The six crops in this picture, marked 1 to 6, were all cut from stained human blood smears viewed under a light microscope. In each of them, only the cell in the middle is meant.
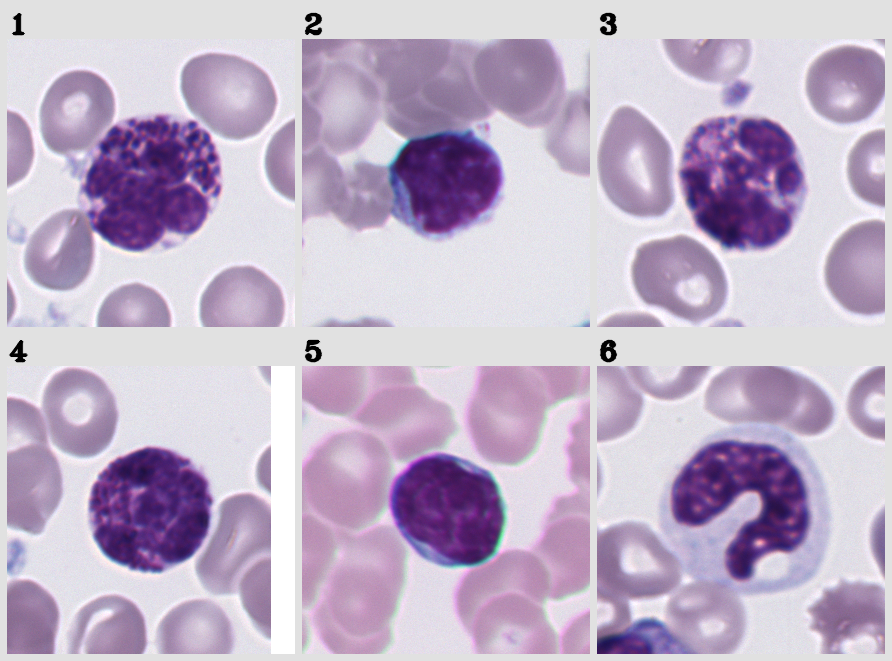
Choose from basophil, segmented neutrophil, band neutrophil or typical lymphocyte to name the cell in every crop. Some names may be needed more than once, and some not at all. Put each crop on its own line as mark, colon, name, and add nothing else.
1: basophil
2: typical lymphocyte
3: basophil
4: basophil
5: typical lymphocyte
6: band neutrophil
